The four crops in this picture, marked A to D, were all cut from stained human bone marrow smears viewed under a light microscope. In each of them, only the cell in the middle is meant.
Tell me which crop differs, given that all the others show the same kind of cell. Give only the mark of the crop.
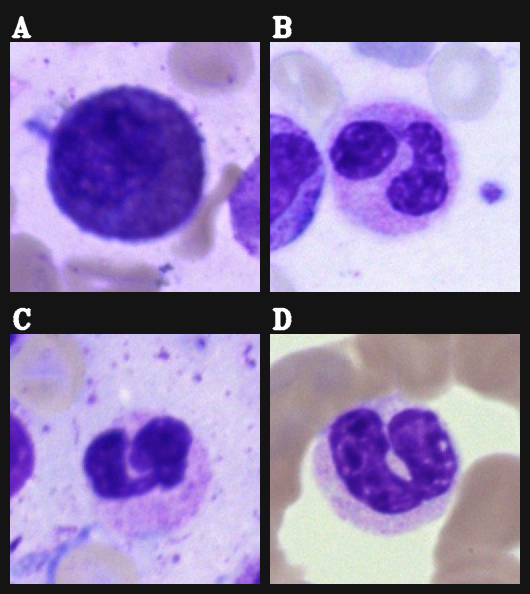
A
